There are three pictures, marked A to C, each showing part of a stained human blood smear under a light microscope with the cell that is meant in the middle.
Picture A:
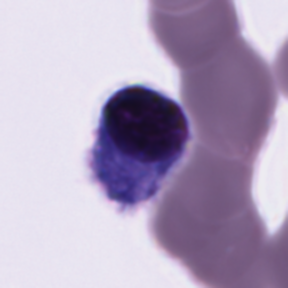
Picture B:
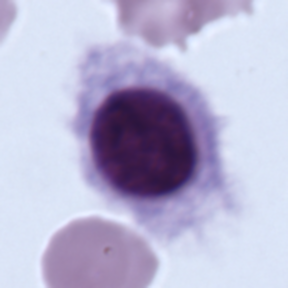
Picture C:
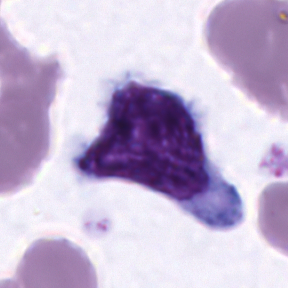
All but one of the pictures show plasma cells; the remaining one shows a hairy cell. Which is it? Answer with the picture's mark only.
B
